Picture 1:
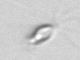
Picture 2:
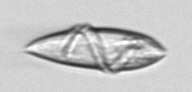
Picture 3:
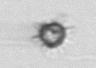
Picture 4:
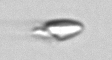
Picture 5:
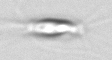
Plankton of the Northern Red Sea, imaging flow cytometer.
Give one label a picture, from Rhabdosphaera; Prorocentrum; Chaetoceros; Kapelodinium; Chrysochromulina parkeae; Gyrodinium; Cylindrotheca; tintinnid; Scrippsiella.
Picture 1: Chrysochromulina parkeae
Picture 2: Gyrodinium
Picture 3: Rhabdosphaera
Picture 4: Kapelodinium
Picture 5: Chrysochromulina parkeae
